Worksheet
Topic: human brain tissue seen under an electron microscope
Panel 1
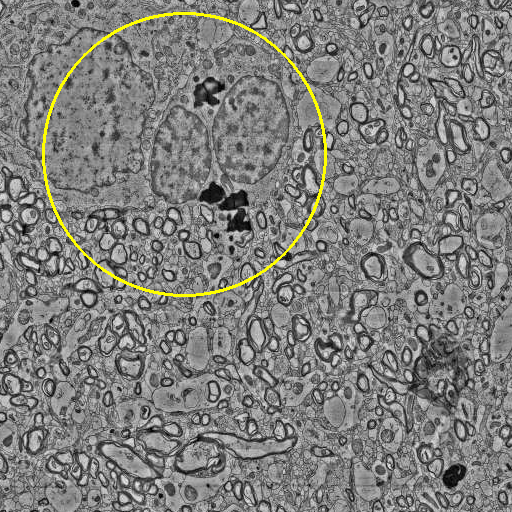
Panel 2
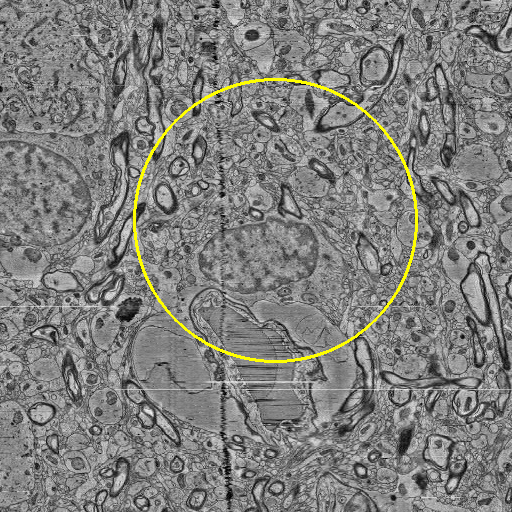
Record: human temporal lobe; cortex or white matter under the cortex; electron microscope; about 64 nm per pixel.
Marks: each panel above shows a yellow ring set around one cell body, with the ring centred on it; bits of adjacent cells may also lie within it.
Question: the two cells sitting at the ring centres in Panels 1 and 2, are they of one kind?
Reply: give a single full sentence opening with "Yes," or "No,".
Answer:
Yes, the two ring-centre cells in Panel 1 and Panel 2 are of one kind.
